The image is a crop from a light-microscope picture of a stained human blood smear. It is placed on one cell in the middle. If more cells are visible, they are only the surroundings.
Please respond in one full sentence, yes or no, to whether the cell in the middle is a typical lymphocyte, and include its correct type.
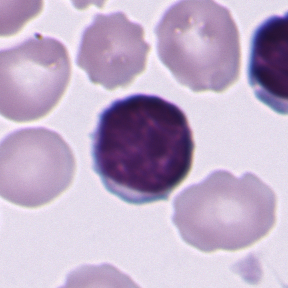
Yes, in the centre of this field sits a typical lymphocyte.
